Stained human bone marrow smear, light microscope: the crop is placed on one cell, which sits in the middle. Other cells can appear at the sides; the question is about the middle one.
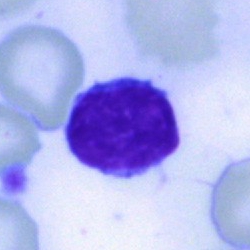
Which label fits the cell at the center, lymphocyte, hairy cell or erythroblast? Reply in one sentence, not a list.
The cell in the middle of the field of view is a lymphocyte.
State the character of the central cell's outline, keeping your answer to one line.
The outline of this cell is not smooth but ragged or drawn out into projections.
